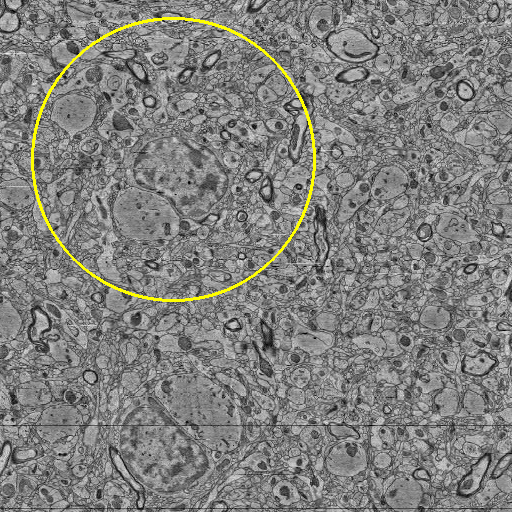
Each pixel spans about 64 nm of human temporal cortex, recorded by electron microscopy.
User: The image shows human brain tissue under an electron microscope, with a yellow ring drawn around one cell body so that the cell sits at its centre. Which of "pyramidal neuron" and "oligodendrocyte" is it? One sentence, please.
At the centre of the ring sits an oligodendrocyte.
